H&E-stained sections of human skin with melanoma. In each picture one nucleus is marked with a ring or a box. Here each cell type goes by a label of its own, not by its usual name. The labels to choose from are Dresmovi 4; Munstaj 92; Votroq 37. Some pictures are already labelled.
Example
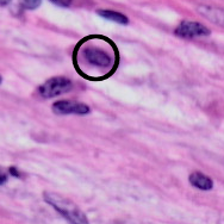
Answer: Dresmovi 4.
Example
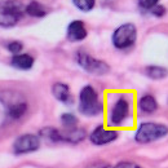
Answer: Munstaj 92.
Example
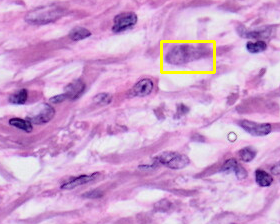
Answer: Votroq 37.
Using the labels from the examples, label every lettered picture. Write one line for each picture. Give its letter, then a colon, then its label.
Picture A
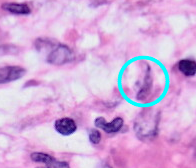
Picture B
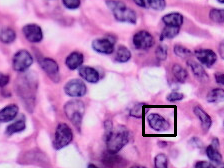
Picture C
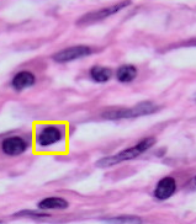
A: Votroq 37.
B: Munstaj 92.
C: Dresmovi 4.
